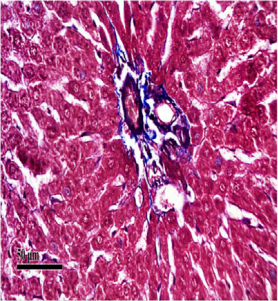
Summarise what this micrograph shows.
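This is liver at a small portal area, with pink-red hepatocytes arranged in cords that radiate from it, separated by narrow pale spaces. Around the small vessels of the portal area lies only a thin rim of blue-stained fibres, and no crowded cells spread out into the surrounding parenchyma.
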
